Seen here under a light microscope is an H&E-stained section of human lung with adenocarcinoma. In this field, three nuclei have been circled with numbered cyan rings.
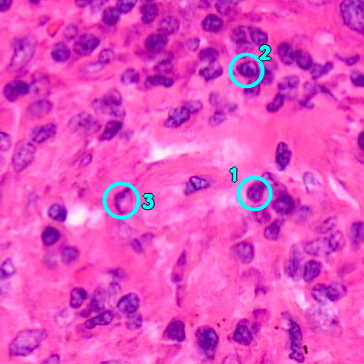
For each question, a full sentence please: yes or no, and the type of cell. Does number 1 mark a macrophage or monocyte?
No, cell 1, which is a lymphocyte, is not a macrophage or monocyte.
